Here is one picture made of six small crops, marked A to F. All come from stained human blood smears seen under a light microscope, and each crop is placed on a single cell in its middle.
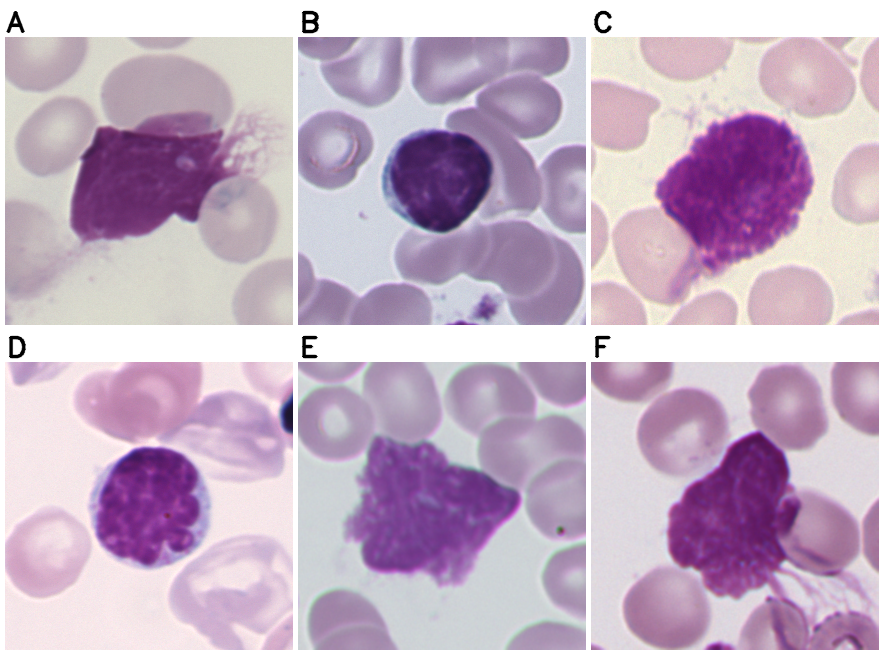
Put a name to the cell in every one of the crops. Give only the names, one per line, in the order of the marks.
smudge cell
typical lymphocyte
smudge cell
typical lymphocyte
smudge cell
smudge cell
